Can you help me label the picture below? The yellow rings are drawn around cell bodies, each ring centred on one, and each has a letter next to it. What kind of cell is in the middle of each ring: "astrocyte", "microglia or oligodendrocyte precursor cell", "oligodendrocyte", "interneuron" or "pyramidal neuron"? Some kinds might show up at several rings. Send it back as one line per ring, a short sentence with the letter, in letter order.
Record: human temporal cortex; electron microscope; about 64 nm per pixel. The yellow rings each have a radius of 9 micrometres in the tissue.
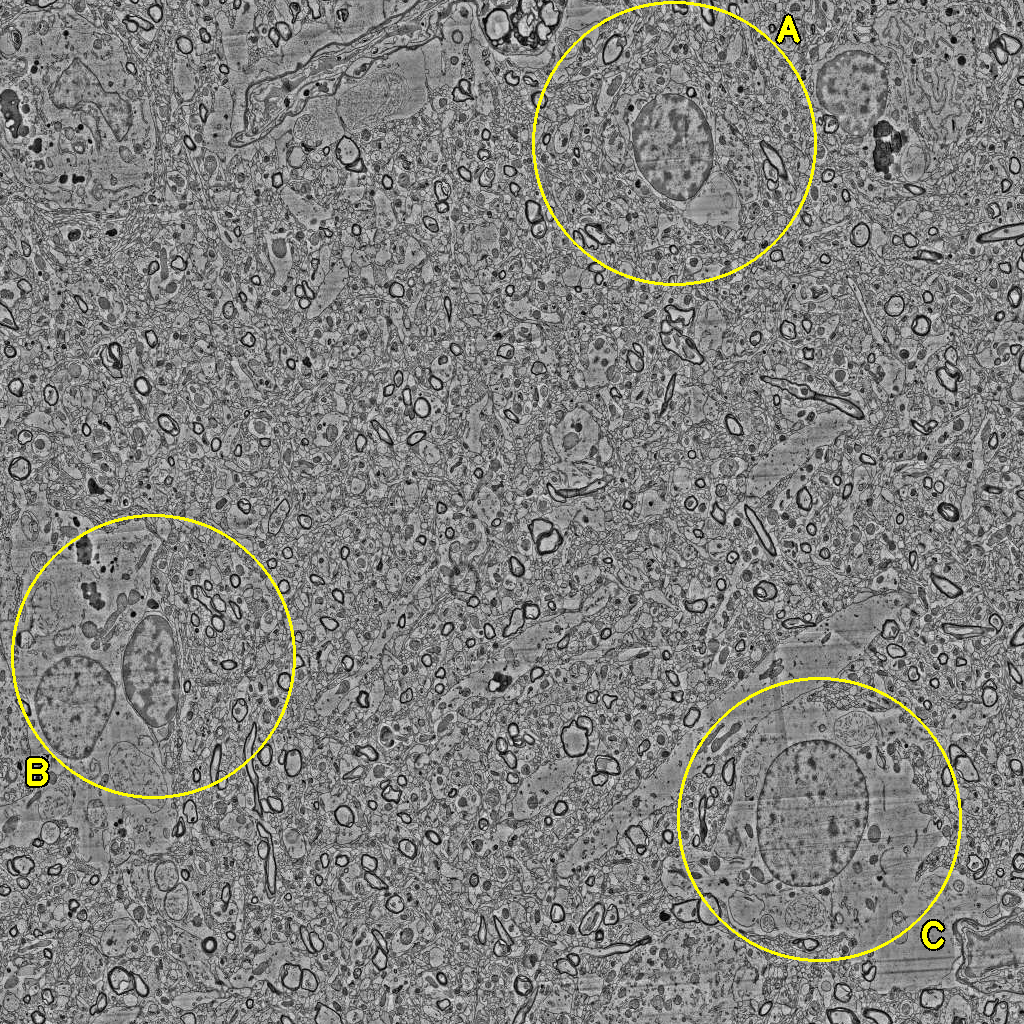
Ring A has a microglial cell or oligodendrocyte precursor cell in the middle.
Ring B has a microglial cell or oligodendrocyte precursor cell in the middle.
Ring C has an astrocyte in the middle.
